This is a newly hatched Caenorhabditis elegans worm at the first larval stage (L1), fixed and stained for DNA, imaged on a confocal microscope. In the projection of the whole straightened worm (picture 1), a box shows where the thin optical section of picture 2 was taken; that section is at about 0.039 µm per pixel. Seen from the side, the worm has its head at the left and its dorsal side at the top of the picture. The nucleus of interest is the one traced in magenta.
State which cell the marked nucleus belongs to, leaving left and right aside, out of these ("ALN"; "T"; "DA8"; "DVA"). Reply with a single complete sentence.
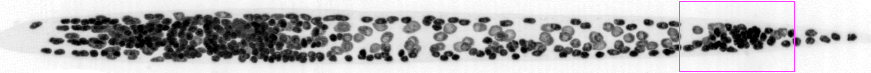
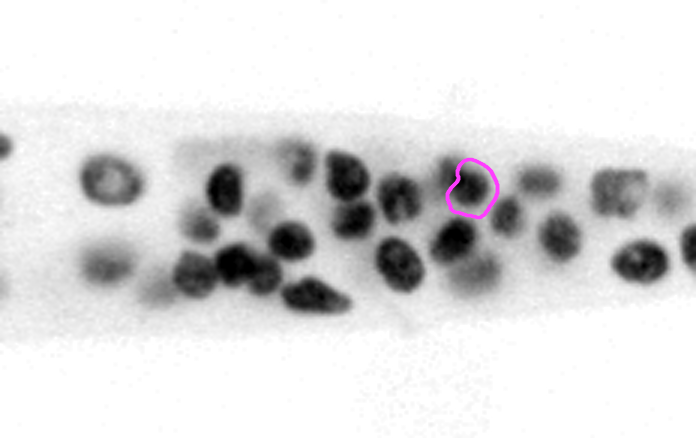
It belongs to ALN, a neuron.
